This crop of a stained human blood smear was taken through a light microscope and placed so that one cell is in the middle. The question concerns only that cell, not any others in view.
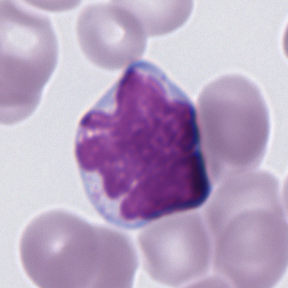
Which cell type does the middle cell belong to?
large granular lymphocyte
